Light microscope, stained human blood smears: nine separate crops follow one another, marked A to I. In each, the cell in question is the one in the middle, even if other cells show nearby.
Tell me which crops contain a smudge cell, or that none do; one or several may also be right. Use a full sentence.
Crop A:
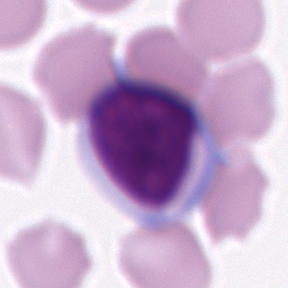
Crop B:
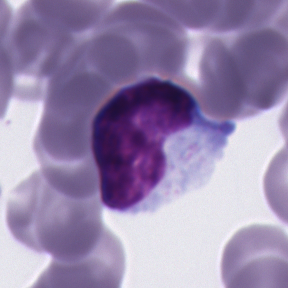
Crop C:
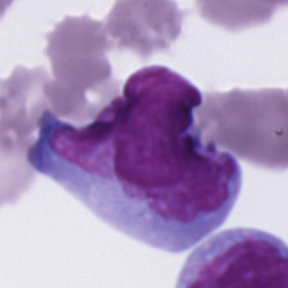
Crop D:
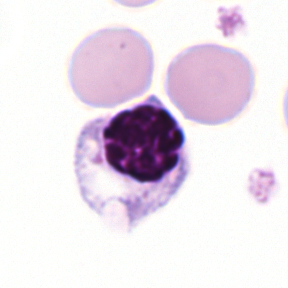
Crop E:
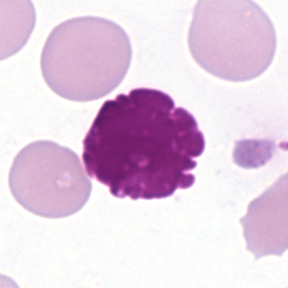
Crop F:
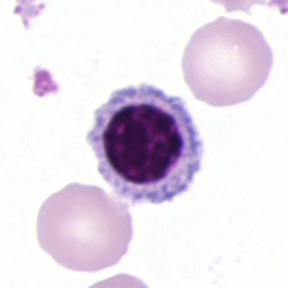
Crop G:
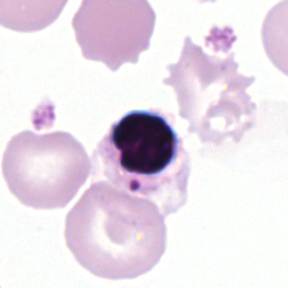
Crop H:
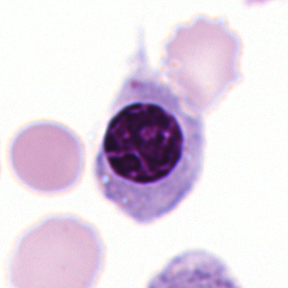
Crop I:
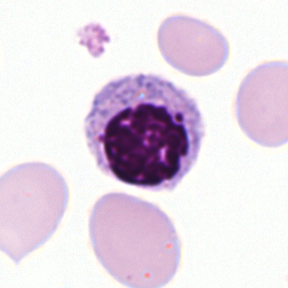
By crop E alone is a smudge cell shown.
